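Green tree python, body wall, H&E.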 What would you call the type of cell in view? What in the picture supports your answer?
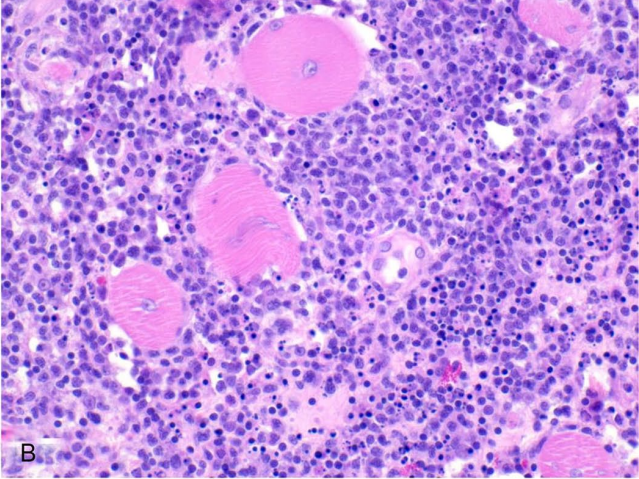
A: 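Neoplastic round cells. Dense sheets of small round cells fill the field. Nuclei are round and dark with little cytoplasm around them. Cell borders are hard to make out.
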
